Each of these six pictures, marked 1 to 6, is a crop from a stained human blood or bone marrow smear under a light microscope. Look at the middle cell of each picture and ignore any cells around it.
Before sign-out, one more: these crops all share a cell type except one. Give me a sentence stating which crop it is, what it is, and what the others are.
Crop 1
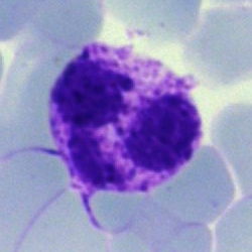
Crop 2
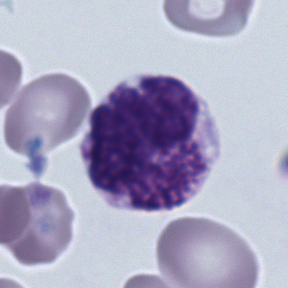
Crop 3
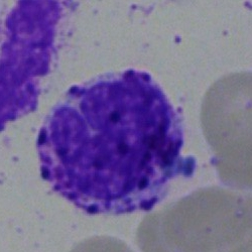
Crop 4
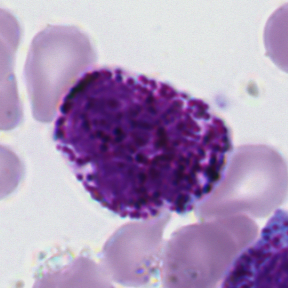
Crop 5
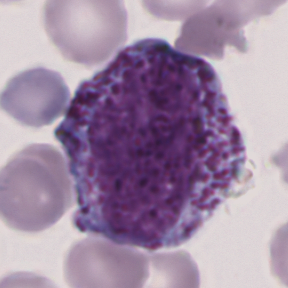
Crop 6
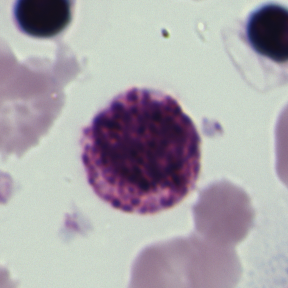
Crop 5 is a promyelocyte, the one exception to the basophils of the other crops.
